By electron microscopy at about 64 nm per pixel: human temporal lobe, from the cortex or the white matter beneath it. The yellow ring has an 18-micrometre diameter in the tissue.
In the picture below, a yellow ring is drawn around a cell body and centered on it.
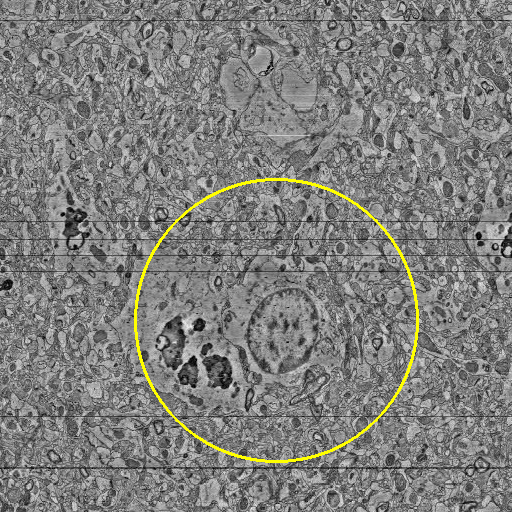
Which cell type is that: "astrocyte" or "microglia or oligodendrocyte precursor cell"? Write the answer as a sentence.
The cell centered in the ring is an astrocyte.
